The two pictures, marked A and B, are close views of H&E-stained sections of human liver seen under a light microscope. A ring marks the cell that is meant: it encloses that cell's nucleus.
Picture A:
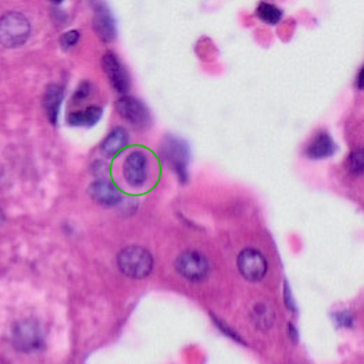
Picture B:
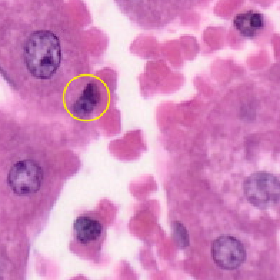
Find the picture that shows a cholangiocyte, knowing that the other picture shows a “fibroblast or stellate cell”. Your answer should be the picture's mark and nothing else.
A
